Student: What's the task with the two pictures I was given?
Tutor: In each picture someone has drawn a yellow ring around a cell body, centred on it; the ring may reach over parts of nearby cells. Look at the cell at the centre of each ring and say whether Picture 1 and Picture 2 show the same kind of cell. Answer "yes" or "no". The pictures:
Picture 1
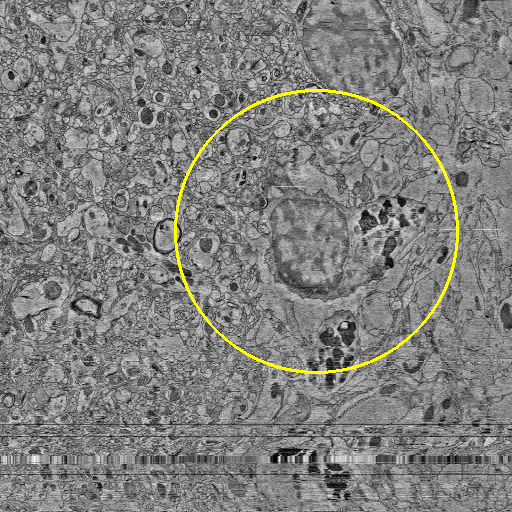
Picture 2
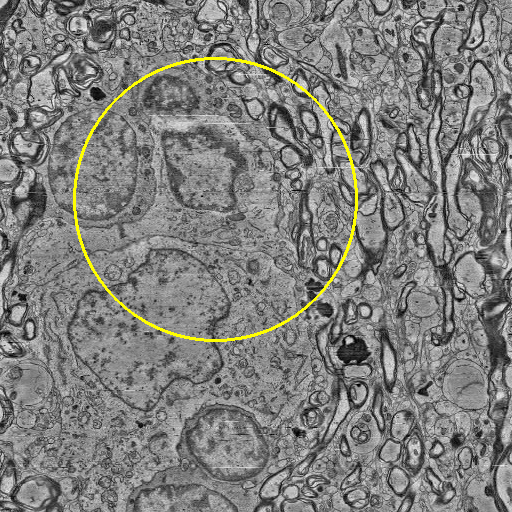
no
